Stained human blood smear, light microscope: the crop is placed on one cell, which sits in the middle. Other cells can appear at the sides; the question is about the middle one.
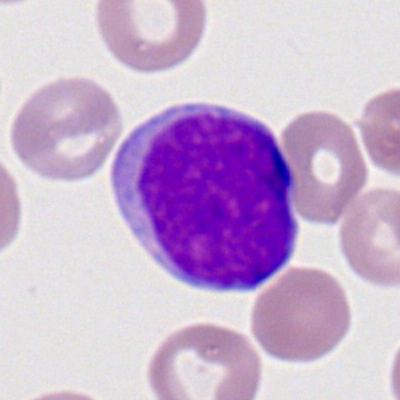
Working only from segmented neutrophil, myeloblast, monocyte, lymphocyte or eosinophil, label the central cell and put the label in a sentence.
Here the cell in the middle is a myeloblast.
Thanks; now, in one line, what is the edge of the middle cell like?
No surface projections are present; the cell outline is smooth.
